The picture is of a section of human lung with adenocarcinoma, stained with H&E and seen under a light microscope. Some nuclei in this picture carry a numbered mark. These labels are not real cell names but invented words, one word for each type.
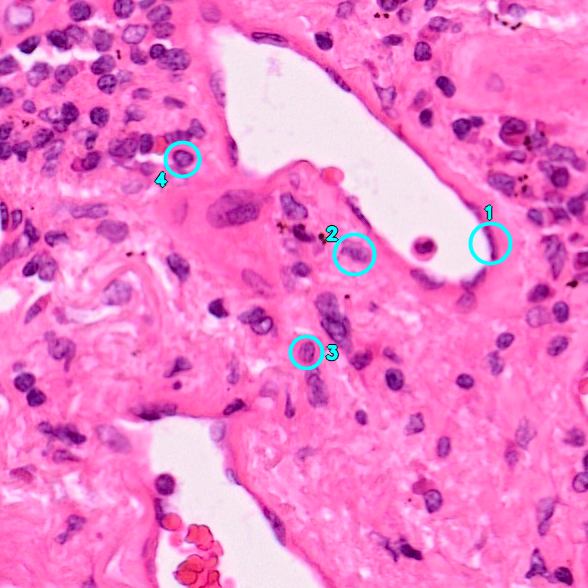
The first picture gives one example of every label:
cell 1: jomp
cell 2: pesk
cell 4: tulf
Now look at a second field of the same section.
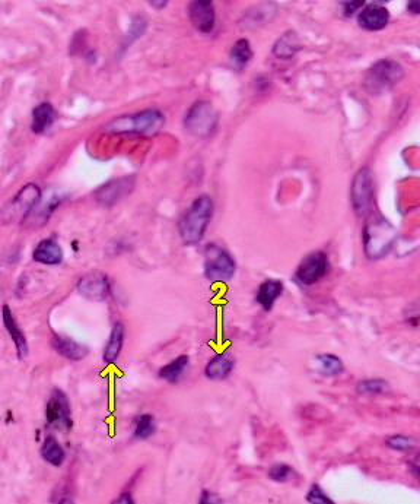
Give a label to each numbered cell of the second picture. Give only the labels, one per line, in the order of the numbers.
jomp
tulf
